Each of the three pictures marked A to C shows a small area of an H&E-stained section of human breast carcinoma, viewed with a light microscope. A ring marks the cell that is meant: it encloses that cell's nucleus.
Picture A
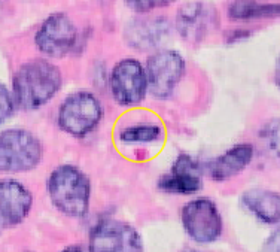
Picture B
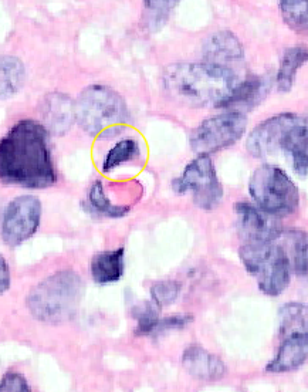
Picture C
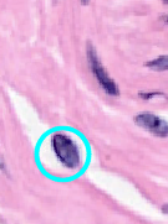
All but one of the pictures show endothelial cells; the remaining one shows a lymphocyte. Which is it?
C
